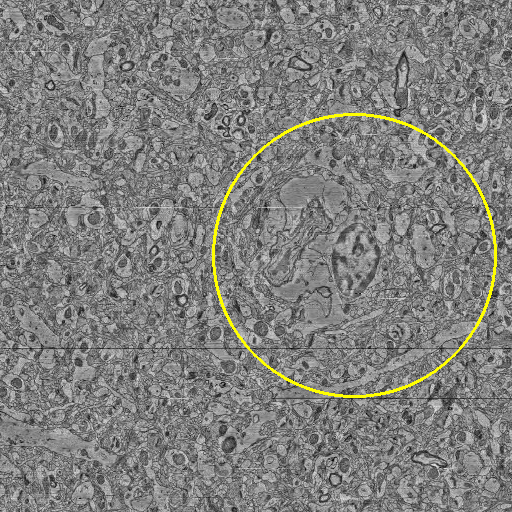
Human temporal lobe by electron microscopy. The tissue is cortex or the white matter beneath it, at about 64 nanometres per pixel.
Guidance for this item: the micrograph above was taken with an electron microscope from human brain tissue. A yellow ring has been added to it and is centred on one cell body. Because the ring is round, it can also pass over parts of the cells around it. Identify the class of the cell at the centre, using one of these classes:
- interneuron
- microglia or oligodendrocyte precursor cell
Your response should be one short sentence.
The ring surrounds the body of a microglial cell or oligodendrocyte precursor cell.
